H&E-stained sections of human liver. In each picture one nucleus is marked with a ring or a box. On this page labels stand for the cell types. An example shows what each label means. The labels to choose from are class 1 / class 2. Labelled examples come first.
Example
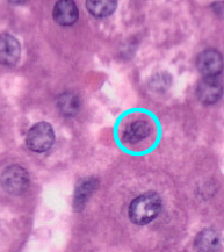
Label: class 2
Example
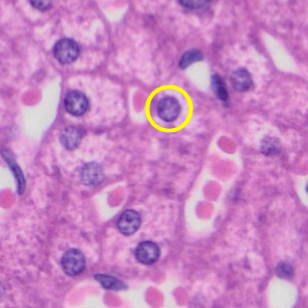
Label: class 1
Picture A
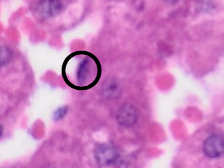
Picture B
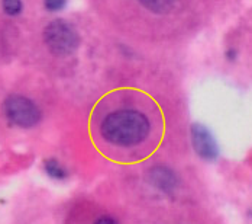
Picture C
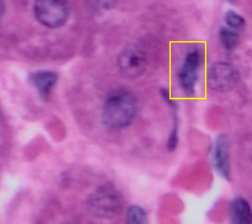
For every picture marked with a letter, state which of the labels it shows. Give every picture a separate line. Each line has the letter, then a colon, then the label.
A: class 2
B: class 1
C: class 2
